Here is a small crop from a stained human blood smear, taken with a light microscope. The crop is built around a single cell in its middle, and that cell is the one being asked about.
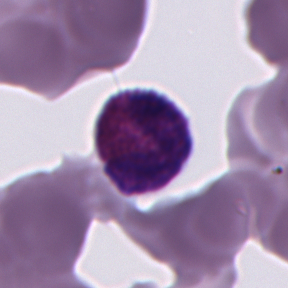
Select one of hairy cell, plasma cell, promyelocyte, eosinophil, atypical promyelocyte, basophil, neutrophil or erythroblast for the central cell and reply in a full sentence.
In the crop, the cell of interest at the centre is an eosinophil.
